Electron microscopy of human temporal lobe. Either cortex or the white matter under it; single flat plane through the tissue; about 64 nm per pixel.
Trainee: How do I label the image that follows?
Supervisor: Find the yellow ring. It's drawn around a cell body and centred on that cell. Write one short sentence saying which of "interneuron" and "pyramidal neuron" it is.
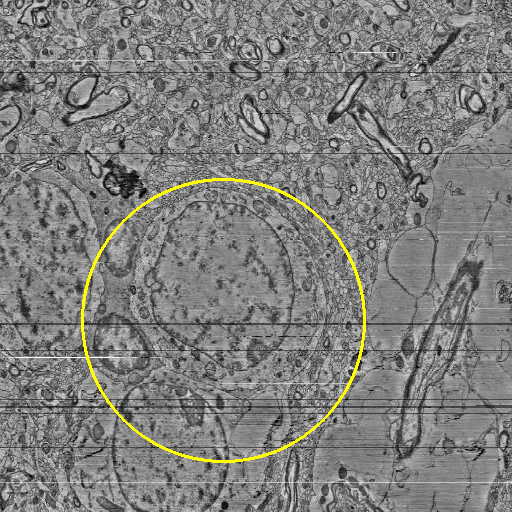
This is the cell body of a pyramidal neuron.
